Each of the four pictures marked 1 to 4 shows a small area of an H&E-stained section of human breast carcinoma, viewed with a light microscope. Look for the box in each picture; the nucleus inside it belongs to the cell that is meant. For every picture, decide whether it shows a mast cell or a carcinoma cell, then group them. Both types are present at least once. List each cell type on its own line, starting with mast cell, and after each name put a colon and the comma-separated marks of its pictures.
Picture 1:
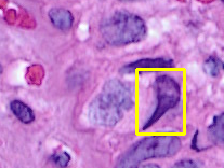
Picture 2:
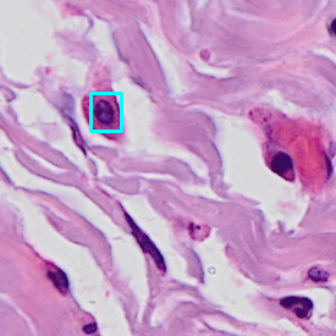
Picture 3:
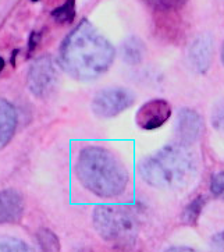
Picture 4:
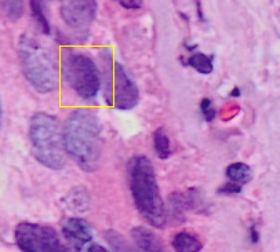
mast cell: 2
carcinoma cell: 1, 3, 4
